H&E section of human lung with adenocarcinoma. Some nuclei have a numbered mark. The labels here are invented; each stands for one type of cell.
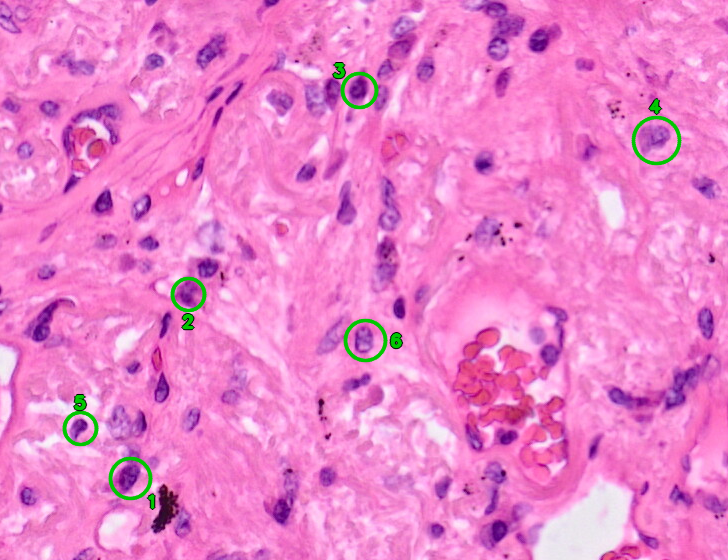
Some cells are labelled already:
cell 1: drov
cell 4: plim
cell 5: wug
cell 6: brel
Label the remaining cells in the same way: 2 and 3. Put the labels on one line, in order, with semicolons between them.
drov; drov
